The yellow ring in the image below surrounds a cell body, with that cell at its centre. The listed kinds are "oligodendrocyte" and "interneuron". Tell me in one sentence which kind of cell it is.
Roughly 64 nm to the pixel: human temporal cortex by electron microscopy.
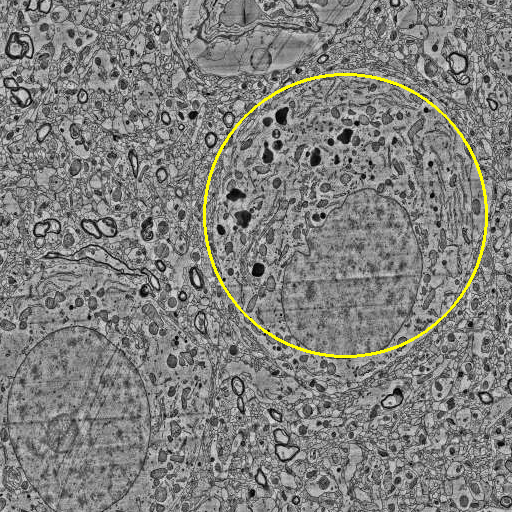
The centre of the ring holds an interneuron.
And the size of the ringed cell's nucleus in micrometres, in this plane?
In this plane, about 11 micrometres in length and 9 in width.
